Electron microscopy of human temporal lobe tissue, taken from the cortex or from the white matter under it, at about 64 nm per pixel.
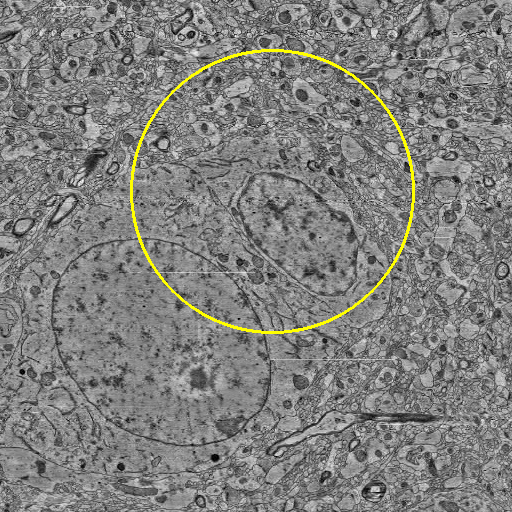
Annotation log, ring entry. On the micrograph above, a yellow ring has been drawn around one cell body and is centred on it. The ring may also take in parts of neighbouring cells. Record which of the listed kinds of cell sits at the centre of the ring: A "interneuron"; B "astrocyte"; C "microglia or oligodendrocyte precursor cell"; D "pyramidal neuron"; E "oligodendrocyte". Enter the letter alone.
C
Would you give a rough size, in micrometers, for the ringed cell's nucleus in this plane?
In this plane the nucleus measures about 10 by 6 micrometres and is clearly longer than it is wide.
